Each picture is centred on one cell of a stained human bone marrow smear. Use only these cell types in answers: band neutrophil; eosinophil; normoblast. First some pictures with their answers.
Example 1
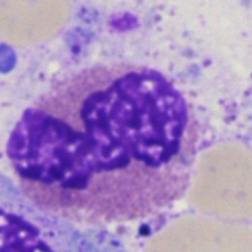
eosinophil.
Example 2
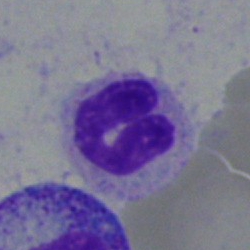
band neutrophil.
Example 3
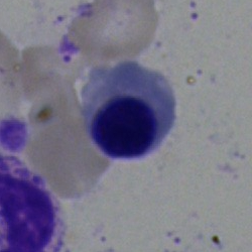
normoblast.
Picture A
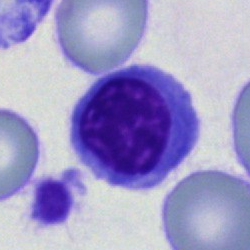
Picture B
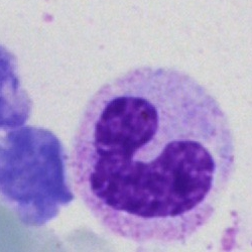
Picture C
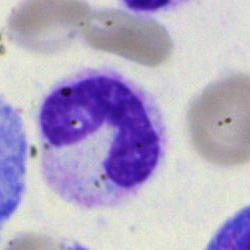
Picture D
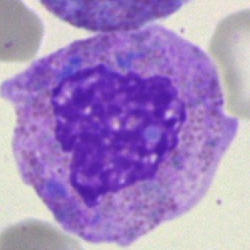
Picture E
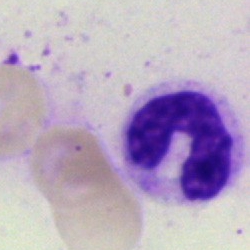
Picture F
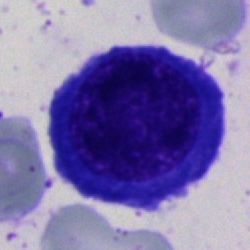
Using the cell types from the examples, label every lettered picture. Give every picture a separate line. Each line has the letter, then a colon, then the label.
A: normoblast.
B: band neutrophil.
C: band neutrophil.
D: eosinophil.
E: band neutrophil.
F: normoblast.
